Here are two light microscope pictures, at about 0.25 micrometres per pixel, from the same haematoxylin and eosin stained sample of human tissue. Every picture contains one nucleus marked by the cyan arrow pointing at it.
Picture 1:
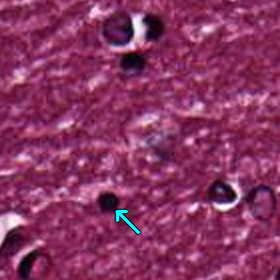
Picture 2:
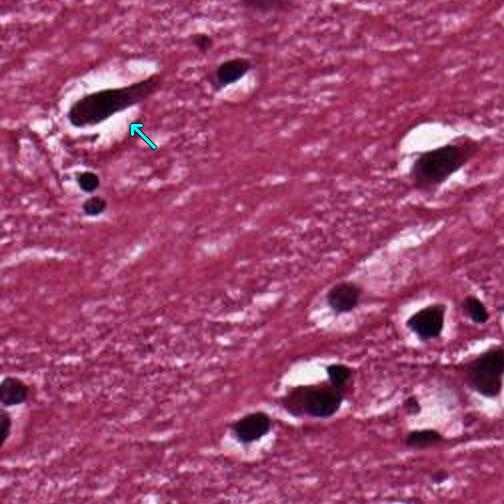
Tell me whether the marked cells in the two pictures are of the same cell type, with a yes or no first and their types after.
No, the first is an oligodendrocyte and the second a neuron.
